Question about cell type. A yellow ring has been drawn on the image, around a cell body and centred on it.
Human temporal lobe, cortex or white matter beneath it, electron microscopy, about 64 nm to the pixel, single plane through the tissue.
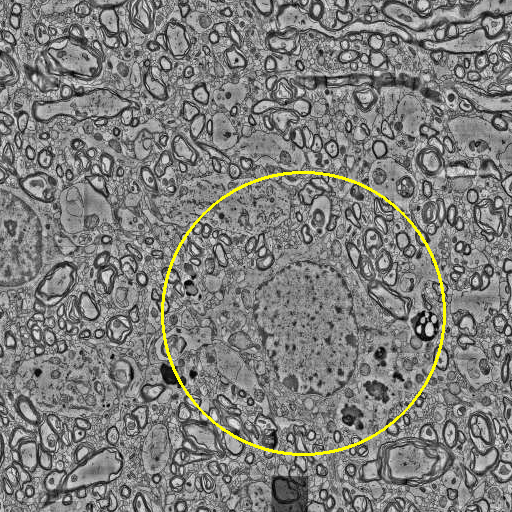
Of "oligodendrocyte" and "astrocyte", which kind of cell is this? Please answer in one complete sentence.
At the centre of the ring lies an astrocyte.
